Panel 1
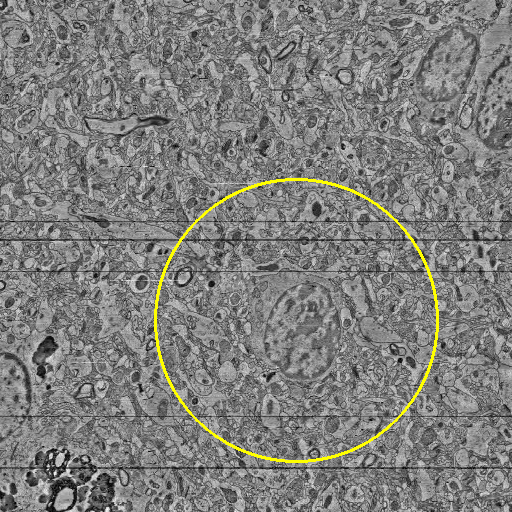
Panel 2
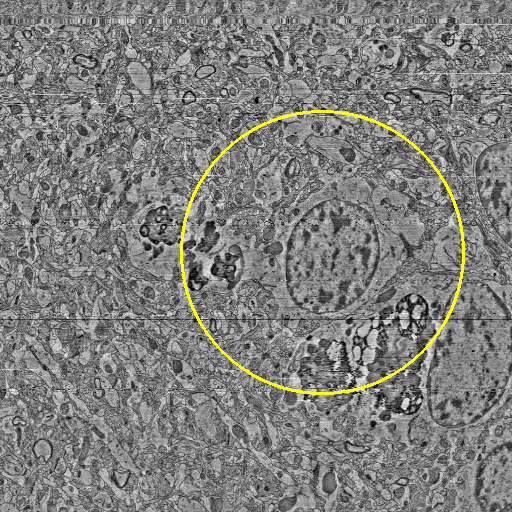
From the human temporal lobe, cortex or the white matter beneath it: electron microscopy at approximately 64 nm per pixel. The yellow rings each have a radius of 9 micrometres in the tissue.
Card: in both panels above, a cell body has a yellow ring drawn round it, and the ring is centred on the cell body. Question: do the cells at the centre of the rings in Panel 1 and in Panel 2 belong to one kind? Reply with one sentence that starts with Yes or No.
No, the cells centred in the rings of Panel 1 and Panel 2 are two kinds of cell.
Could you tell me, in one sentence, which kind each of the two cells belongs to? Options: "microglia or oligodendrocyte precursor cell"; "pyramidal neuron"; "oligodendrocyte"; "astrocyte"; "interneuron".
At the centre of the first ring sits an oligodendrocyte, and at the centre of the second sits an astrocyte.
